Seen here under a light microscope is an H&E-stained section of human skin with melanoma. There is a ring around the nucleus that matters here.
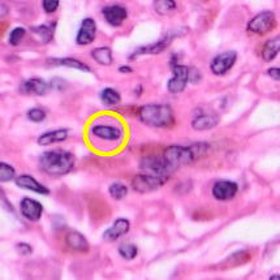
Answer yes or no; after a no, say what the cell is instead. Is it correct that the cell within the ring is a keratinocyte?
No, it is a lymphocyte.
